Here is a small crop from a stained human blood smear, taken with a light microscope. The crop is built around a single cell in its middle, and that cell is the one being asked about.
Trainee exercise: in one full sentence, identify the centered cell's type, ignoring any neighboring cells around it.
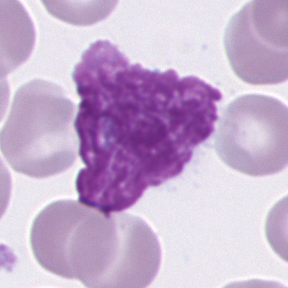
Present in the middle of the crop is a smudge cell.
